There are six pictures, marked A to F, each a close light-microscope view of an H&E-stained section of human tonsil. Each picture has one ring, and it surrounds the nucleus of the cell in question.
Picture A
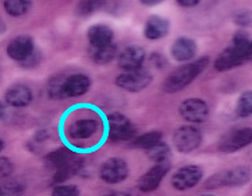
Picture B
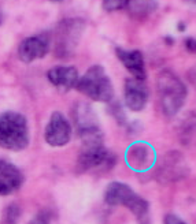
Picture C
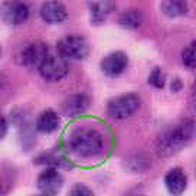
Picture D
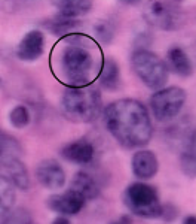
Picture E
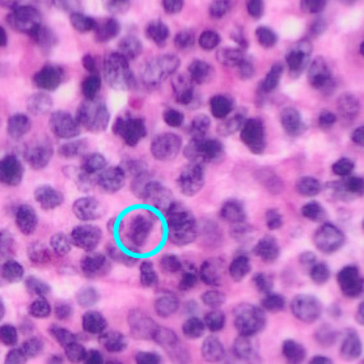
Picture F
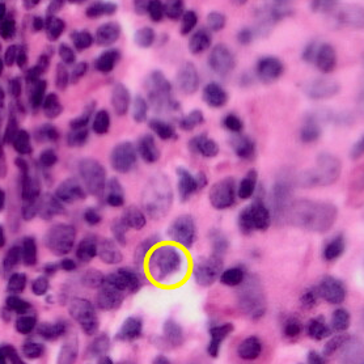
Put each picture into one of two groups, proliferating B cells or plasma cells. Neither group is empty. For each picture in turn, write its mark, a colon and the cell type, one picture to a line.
A: plasma cell
B: proliferating B cell
C: plasma cell
D: proliferating B cell
E: proliferating B cell
F: proliferating B cell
